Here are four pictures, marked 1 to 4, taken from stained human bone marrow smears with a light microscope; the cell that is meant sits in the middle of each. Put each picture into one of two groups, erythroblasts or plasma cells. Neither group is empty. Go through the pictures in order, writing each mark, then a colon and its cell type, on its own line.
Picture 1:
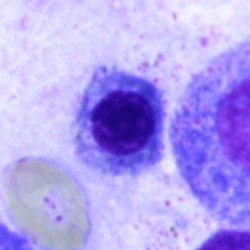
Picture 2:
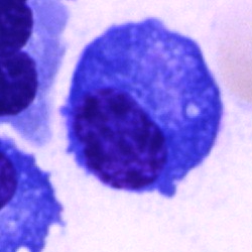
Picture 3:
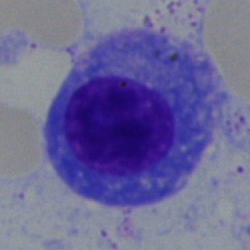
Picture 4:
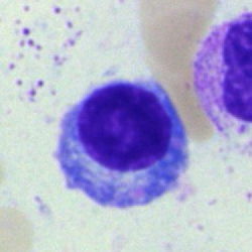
1: erythroblast
2: plasma cell
3: plasma cell
4: plasma cell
